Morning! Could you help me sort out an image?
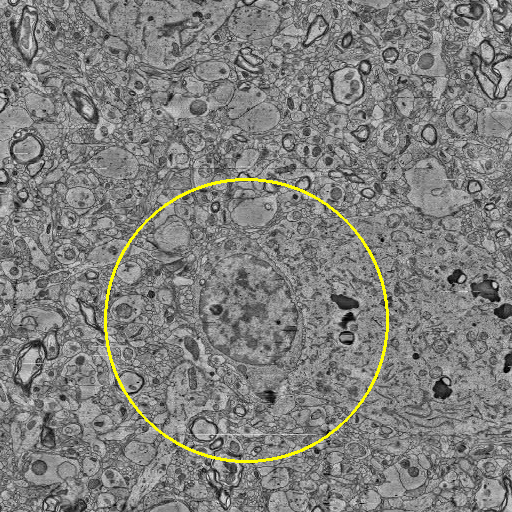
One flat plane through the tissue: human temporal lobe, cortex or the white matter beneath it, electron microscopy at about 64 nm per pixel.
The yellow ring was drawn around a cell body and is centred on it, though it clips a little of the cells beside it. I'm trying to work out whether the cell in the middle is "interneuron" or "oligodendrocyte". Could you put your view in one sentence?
The ringed cell body is that of an oligodendrocyte.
